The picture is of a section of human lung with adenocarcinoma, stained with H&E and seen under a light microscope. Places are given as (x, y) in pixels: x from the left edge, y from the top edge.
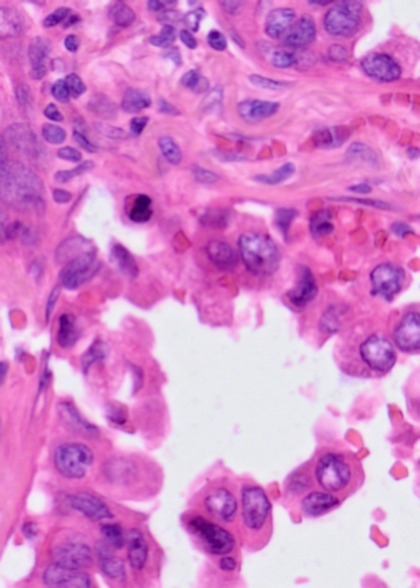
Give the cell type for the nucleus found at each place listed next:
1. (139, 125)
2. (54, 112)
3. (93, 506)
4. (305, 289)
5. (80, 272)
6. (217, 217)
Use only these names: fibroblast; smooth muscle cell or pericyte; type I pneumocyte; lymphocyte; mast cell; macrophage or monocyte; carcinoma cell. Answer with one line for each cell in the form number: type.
1: lymphocyte
2: lymphocyte
3: carcinoma cell
4: carcinoma cell
5: carcinoma cell
6: carcinoma cell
